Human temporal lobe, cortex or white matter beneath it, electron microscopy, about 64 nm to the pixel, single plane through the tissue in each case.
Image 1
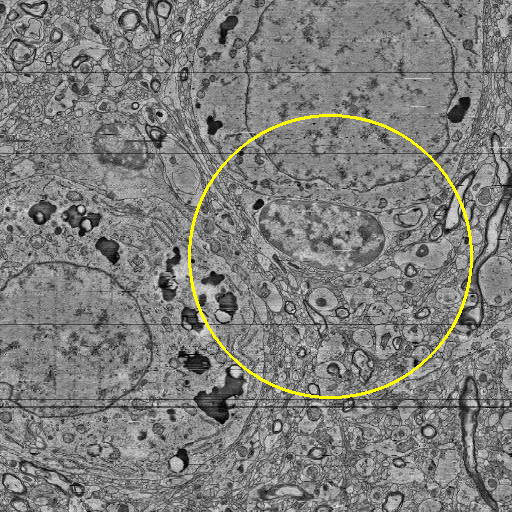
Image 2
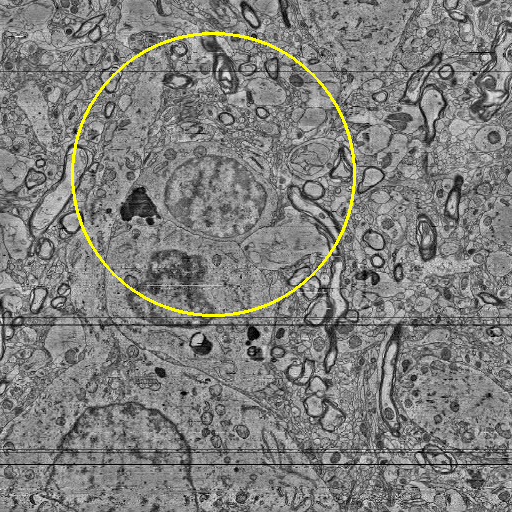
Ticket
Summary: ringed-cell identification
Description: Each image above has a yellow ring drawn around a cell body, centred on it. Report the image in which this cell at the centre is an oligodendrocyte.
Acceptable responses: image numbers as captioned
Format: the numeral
2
